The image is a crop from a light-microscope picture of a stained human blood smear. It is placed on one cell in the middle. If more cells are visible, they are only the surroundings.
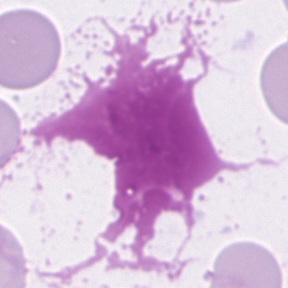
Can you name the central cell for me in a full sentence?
The cell found in the middle of this crop is a smudge cell.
